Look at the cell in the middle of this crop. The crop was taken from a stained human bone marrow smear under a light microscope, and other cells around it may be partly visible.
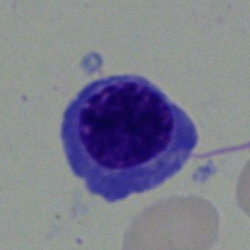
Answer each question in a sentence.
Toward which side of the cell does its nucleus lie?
It is shifted toward the top of the cell.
